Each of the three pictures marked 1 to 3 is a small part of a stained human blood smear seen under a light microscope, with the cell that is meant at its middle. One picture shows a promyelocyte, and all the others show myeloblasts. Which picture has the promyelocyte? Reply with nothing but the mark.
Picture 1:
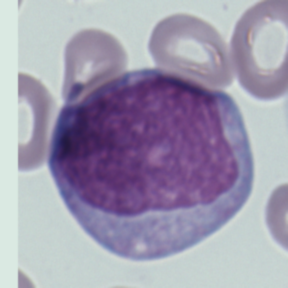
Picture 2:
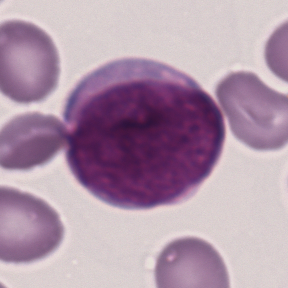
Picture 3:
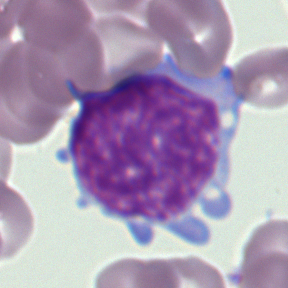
1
